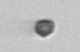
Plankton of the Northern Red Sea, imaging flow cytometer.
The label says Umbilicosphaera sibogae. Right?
Wrong: this is Gephyrocapsa huxleyi.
